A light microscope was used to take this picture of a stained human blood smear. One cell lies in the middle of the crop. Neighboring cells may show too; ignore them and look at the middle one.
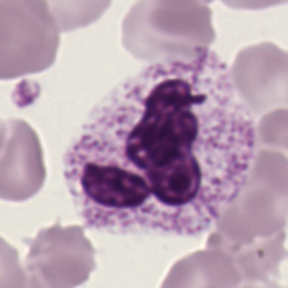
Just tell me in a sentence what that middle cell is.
The centrally placed cell is classified as a segmented neutrophil.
